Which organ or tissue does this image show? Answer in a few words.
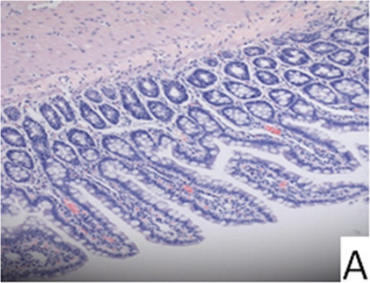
intestinal mucosa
